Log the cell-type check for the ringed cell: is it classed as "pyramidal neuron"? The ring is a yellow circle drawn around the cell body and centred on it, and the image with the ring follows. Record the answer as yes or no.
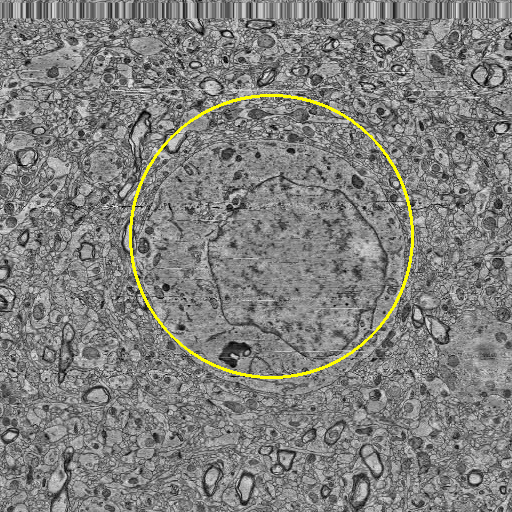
Yes, it is classed that way.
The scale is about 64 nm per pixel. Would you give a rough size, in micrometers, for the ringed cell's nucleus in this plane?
In this plane the ringed cell's nucleus is roughly 12 micrometres across.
